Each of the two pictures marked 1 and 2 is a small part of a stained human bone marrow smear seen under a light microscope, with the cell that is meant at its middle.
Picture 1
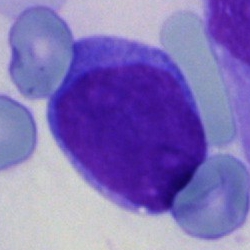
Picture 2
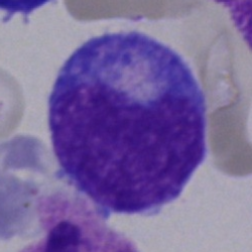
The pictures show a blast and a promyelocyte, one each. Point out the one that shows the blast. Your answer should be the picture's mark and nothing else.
1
